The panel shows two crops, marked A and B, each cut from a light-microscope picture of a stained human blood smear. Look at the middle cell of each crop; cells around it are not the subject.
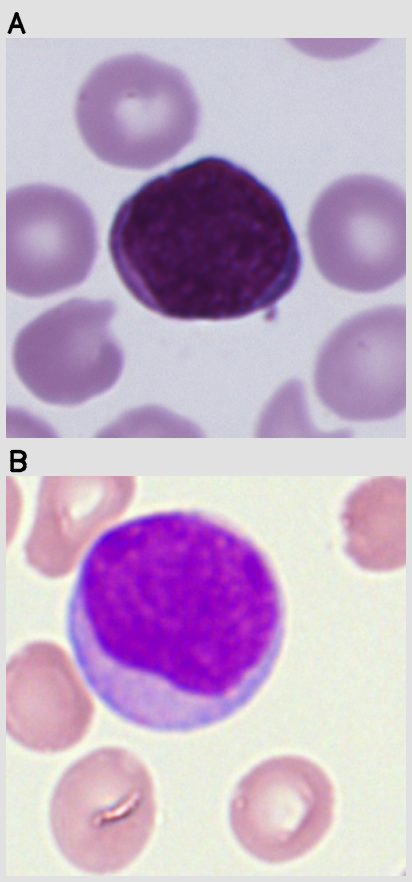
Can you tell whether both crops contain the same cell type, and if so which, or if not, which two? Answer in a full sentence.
Yes, with regard to both crops, the central cells are blasts.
